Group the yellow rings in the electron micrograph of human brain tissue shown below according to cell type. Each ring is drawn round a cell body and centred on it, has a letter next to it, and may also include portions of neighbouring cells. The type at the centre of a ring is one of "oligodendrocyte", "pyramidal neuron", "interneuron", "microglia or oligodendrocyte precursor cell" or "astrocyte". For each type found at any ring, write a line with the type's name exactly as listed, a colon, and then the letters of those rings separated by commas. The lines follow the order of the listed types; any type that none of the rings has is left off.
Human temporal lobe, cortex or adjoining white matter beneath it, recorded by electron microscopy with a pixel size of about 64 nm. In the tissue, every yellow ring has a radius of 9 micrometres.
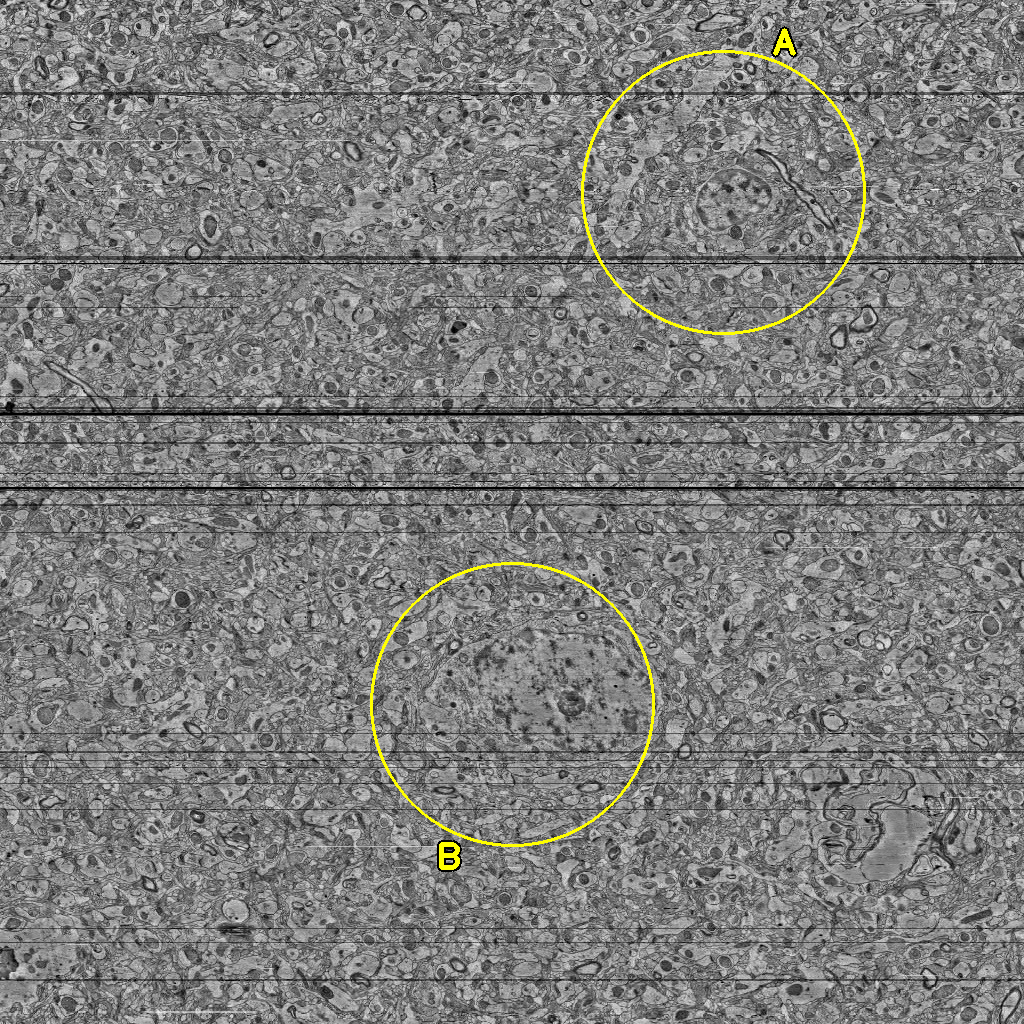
interneuron: B
microglia or oligodendrocyte precursor cell: A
